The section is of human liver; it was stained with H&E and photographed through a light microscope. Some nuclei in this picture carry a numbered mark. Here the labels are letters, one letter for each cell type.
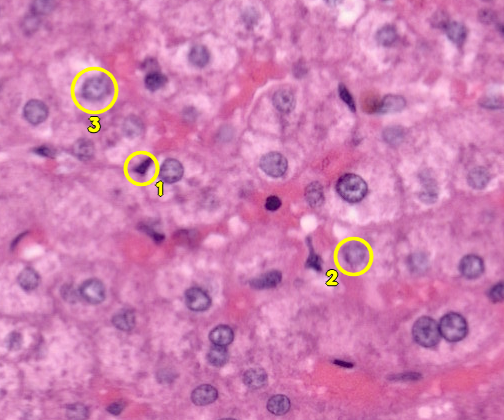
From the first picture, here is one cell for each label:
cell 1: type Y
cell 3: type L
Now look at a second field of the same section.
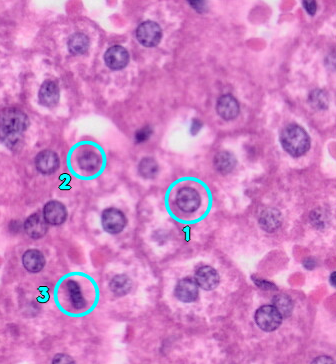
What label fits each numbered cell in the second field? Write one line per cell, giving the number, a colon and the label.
1: type L
2: type L
3: type Y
